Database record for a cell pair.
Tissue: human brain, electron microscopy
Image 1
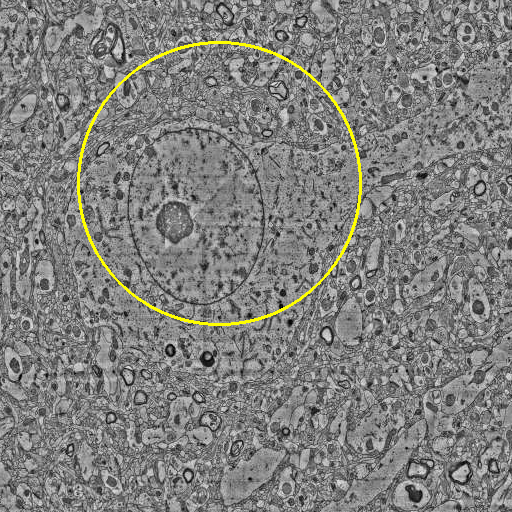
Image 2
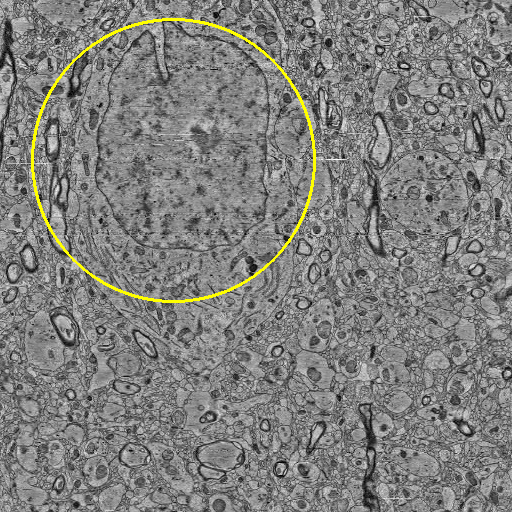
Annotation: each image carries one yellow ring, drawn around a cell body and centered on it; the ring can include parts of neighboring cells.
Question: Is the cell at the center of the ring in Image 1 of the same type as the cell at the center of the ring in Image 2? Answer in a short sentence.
No, the cells are of two types.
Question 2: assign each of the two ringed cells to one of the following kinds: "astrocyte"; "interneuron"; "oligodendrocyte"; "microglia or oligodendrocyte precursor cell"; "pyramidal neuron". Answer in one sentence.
The two cells are a pyramidal neuron in the first picture and an interneuron in the second.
